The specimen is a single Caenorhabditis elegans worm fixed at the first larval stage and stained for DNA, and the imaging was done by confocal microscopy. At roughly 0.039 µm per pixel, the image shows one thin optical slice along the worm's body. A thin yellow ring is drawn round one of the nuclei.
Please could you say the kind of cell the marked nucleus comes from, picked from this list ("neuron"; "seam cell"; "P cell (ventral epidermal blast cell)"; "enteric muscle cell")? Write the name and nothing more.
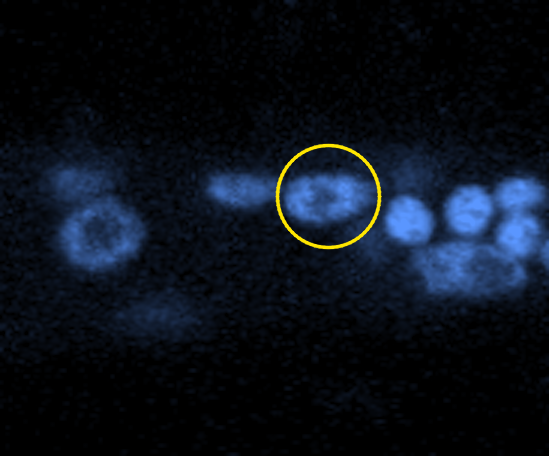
P cell (ventral epidermal blast cell)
